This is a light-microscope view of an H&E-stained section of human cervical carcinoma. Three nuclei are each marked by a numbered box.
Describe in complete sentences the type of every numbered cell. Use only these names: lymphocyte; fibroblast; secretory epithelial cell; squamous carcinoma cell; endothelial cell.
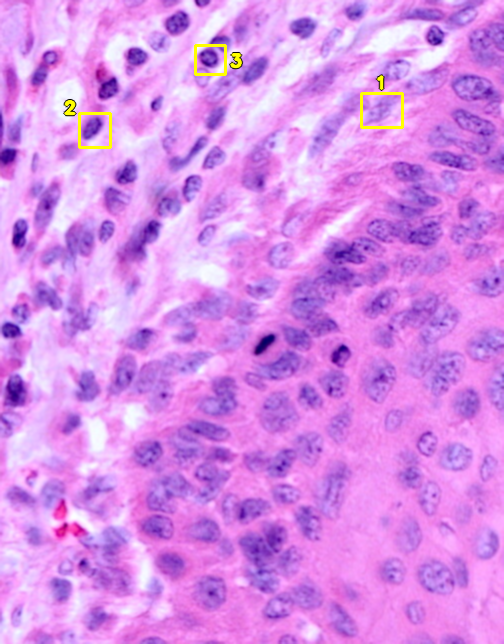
Cell 1 is a fibroblast. Cells 2 and 3 are lymphocytes.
